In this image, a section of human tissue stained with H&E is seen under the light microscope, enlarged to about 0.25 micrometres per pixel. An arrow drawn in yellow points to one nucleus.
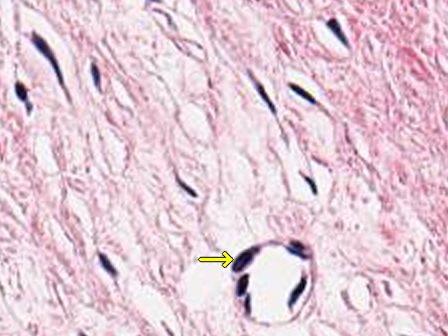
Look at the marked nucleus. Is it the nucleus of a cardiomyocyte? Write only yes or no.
no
